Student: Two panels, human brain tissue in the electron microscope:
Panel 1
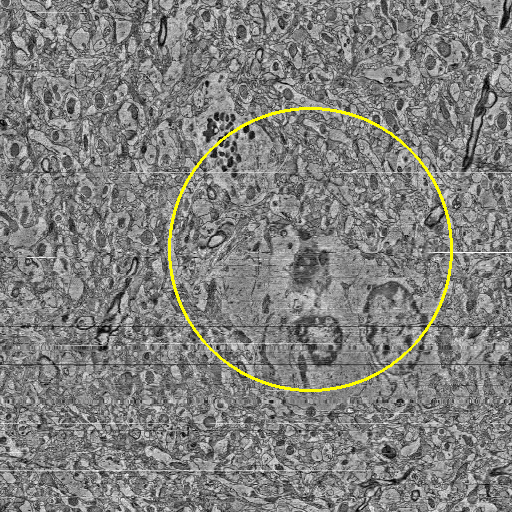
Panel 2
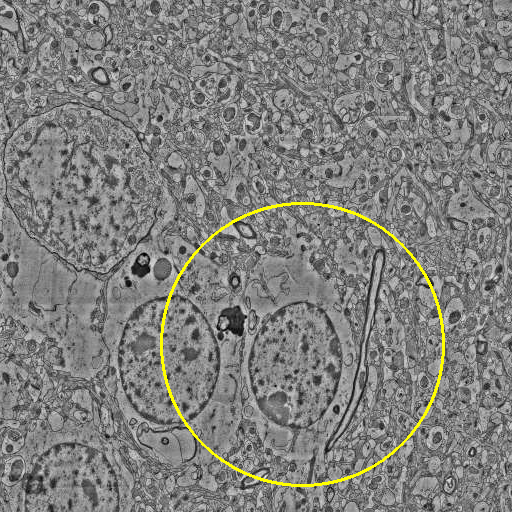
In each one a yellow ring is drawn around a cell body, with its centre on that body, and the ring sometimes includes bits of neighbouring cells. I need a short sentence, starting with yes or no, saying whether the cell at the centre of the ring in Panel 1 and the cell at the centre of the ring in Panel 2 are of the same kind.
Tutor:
No, they are two kinds of cell.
